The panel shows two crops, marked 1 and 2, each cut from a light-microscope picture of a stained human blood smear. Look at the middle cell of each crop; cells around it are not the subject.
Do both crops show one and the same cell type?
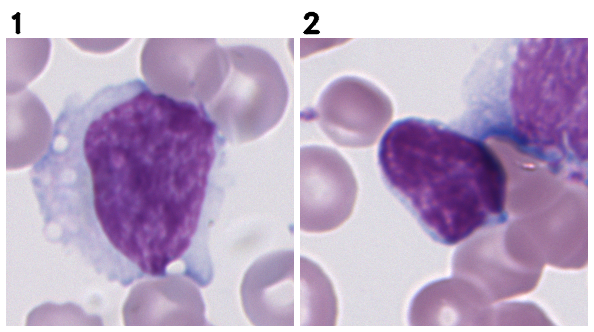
no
